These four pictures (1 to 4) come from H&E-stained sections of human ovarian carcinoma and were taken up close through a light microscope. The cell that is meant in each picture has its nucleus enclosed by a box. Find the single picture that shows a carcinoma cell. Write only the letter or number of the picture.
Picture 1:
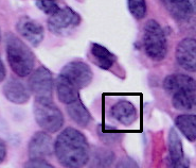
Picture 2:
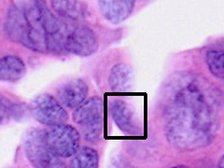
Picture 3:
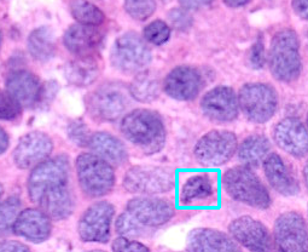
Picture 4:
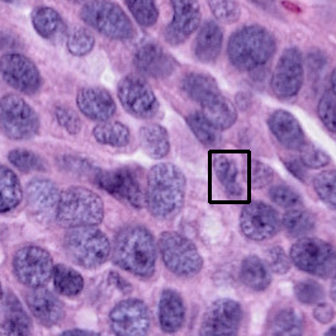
2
